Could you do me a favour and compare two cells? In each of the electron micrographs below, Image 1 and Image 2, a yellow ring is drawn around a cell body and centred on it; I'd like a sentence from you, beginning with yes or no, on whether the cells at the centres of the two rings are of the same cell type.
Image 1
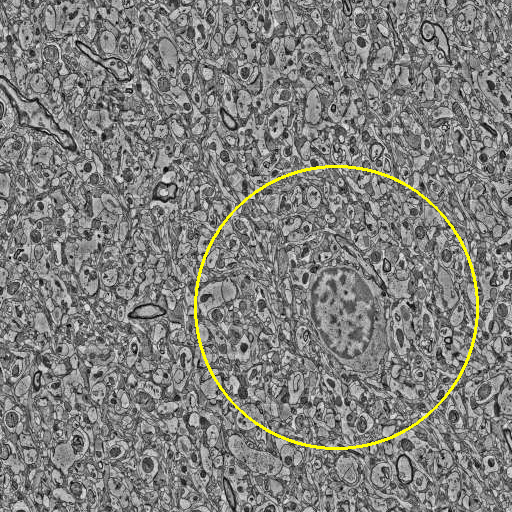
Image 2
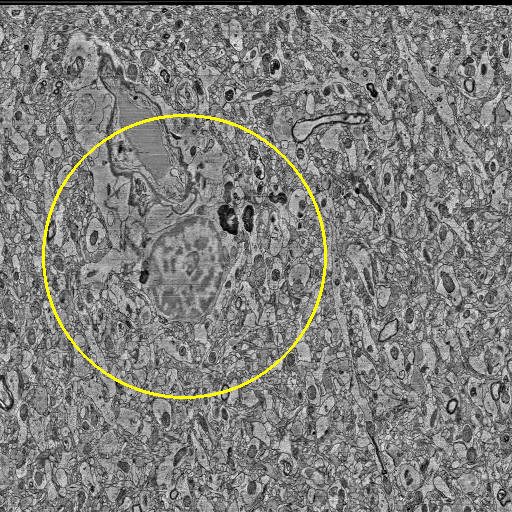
Yes, the two cells are of the same cell type.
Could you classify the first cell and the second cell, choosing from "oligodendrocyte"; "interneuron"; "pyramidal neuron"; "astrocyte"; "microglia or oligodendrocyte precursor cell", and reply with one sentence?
Each cell at the centre of a ring is an oligodendrocyte.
